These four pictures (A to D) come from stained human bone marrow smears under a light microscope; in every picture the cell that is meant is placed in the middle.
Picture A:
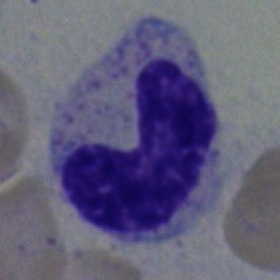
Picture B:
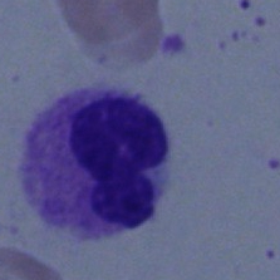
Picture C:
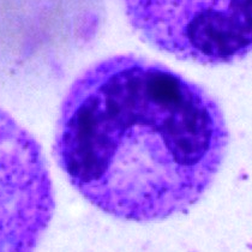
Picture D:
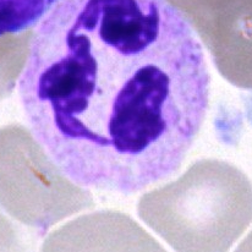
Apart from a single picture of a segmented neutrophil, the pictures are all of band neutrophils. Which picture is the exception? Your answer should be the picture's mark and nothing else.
D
